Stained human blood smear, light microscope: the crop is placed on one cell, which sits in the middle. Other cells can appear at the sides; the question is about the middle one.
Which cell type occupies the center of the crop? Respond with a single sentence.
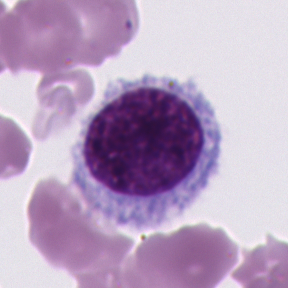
Framed in the middle of the crop is a hairy cell.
